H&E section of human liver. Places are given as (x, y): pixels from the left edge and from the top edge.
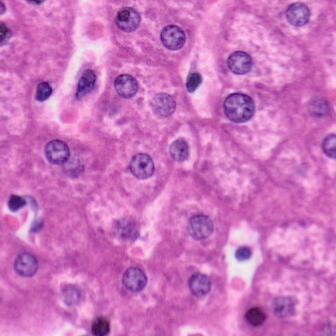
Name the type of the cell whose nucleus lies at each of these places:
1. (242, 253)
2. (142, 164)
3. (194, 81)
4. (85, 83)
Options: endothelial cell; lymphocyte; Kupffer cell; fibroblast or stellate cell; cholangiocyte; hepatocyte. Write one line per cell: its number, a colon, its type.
1: lymphocyte
2: hepatocyte
3: lymphocyte
4: Kupffer cell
